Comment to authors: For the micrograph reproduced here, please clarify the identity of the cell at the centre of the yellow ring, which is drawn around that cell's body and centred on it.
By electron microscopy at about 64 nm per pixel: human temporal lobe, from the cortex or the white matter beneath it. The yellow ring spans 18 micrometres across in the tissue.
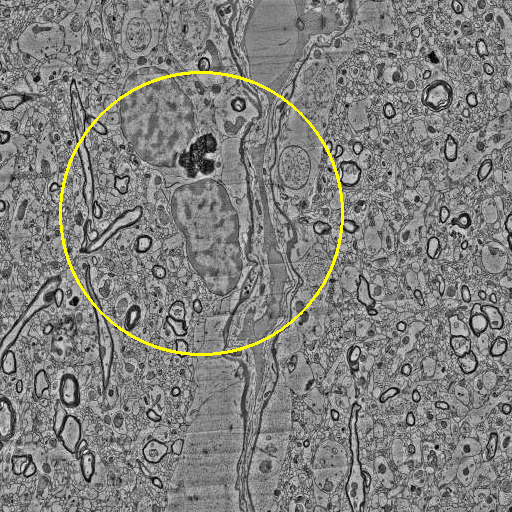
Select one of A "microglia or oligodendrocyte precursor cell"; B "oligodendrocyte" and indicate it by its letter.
A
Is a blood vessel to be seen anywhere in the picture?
Yes, one shows.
